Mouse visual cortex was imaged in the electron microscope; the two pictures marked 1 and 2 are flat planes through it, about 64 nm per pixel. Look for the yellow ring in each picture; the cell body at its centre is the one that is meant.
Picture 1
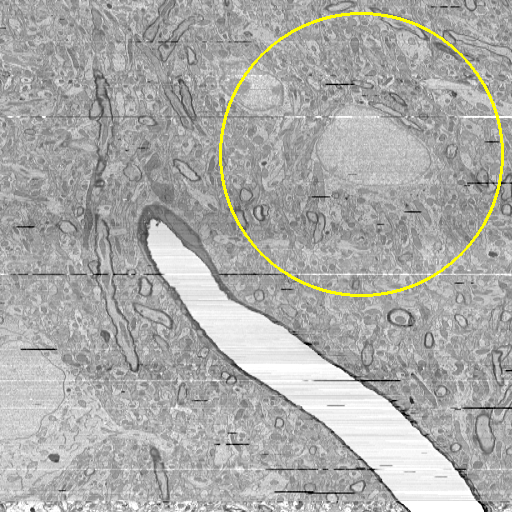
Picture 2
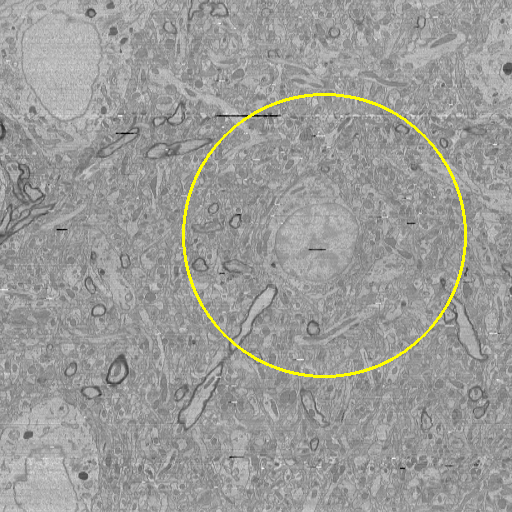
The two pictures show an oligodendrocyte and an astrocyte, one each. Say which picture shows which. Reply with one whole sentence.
It is picture 1 that shows an astrocyte, and picture 2 that shows an oligodendrocyte.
